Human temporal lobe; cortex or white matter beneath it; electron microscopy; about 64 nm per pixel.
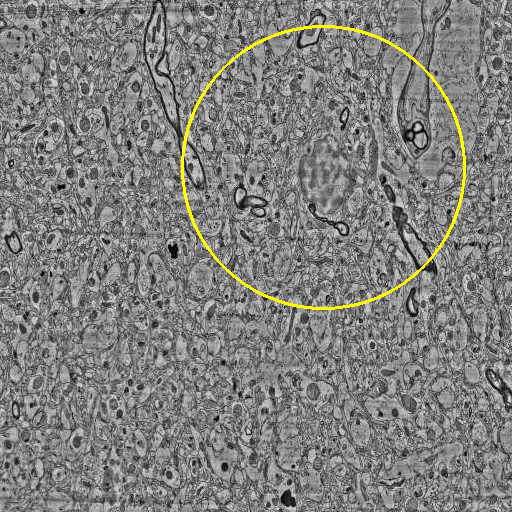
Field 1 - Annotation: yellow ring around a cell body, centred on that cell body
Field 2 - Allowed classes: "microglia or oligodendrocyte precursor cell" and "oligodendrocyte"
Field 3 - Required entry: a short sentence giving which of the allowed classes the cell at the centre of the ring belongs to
The centred cell is an oligodendrocyte.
